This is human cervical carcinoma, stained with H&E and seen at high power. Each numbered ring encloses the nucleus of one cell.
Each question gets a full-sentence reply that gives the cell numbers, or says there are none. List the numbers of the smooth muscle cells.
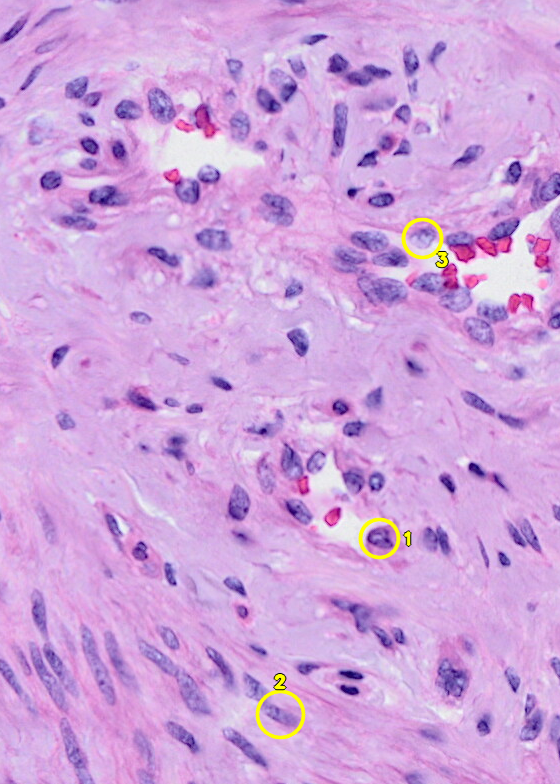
Only at number 2 is there a smooth muscle cell among the marked cells.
